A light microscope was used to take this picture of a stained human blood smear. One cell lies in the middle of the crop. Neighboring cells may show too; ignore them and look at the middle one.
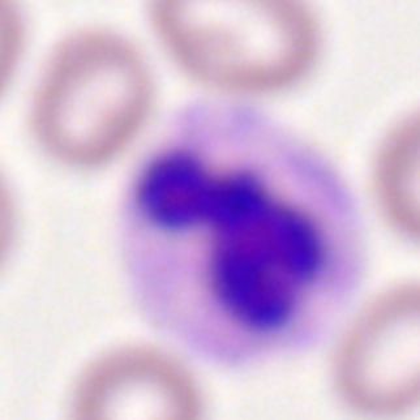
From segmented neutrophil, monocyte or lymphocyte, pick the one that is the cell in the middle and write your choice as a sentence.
Classification of the middle cell gives a segmented neutrophil.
